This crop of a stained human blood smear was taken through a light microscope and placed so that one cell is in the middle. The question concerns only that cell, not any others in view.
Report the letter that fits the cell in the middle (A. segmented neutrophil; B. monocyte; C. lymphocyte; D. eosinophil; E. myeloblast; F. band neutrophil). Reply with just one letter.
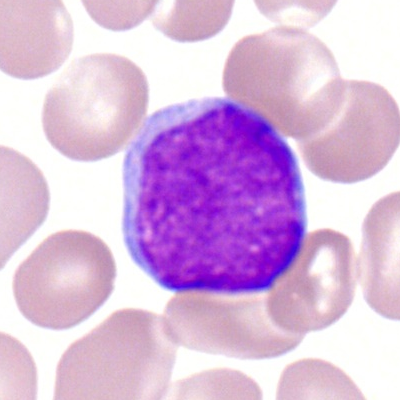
E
